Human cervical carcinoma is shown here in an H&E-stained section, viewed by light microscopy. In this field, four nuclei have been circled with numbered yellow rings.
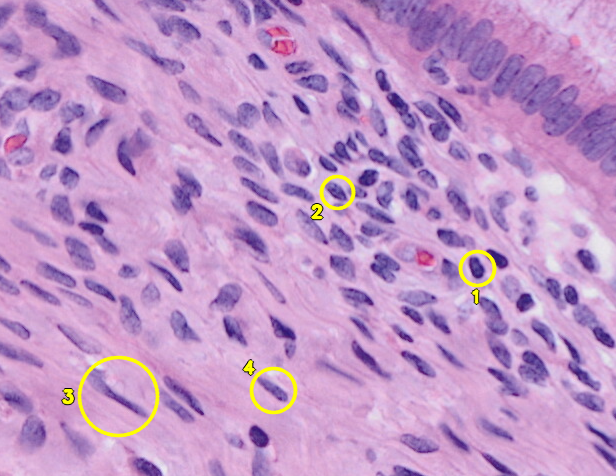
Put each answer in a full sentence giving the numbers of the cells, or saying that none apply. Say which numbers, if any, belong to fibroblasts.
The cells shown with numbers 2, 3 and 4 are fibroblasts.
